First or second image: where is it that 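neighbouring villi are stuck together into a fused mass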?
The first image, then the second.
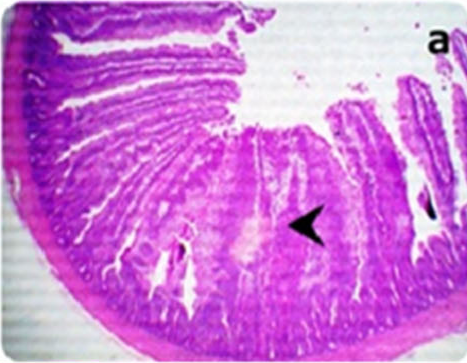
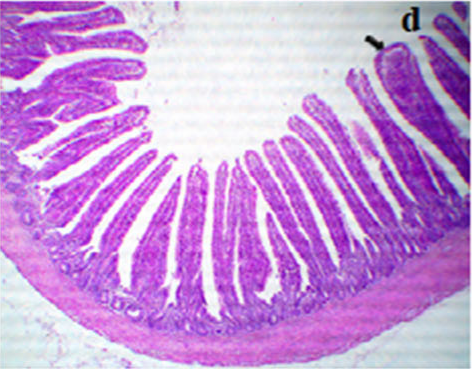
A: The first image.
